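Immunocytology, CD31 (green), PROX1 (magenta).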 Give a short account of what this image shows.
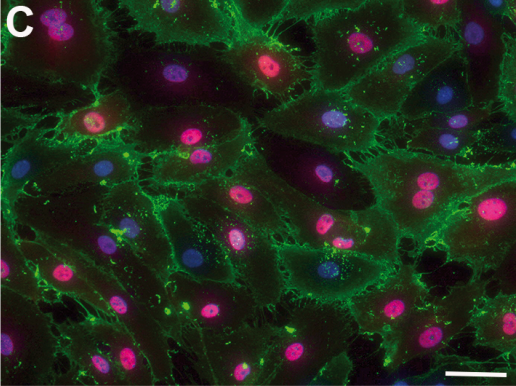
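This is a culture of lymphatic endothelial cells that are larger and more spread out than in a tight cobblestone monolayer. The cells are broad and flattened with irregular outlines, and their borders carry green label that is ragged and frayed rather than a smooth line. Green dots and small clusters are also scattered over the cell bodies. Many nuclei are magenta, while some appear blue. The cells vary noticeably in size and shape across the field.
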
